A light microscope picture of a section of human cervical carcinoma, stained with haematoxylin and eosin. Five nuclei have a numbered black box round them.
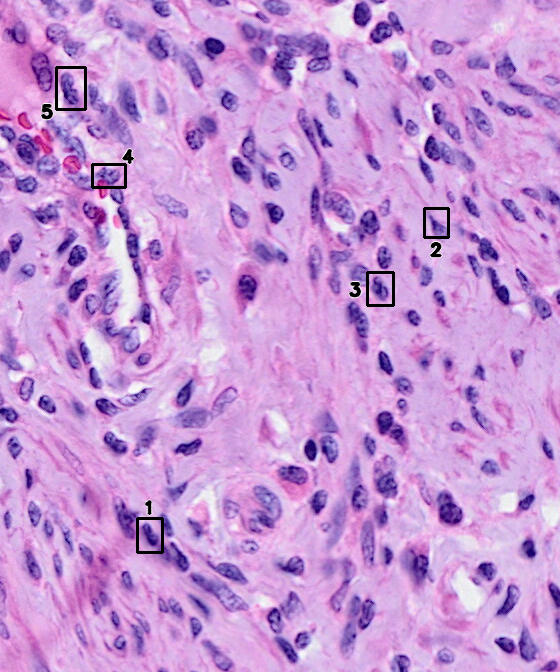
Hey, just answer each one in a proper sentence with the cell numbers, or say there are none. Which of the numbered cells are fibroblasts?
In contrast to the remaining marked cells, cell 2 is a fibroblast.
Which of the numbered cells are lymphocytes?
The numbers 1, 3 and 5 mark cells that are lymphocytes.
